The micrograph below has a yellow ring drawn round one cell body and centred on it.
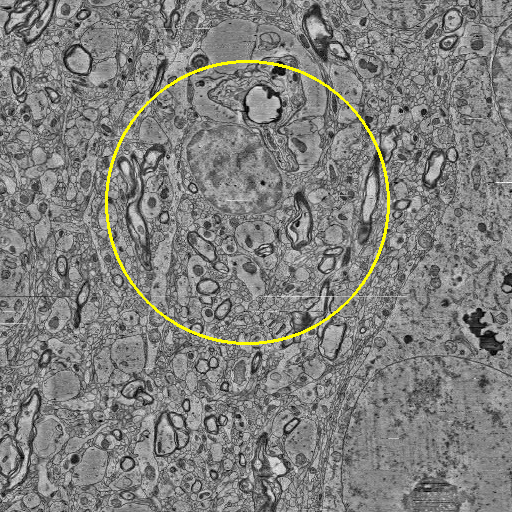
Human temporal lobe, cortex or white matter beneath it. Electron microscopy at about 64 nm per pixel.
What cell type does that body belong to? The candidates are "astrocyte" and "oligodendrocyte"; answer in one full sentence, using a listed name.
This is an oligodendrocyte, the cell whose body lies at the centre of the ring.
